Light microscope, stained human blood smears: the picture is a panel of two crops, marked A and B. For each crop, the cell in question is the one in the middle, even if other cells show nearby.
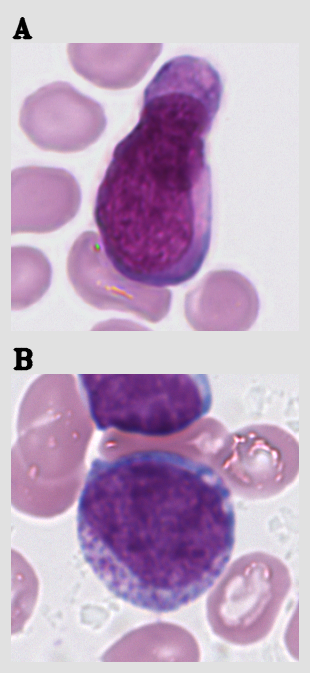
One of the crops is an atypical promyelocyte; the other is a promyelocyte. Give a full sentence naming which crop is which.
Crop A holds an atypical promyelocyte; a promyelocyte occupies crop B.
